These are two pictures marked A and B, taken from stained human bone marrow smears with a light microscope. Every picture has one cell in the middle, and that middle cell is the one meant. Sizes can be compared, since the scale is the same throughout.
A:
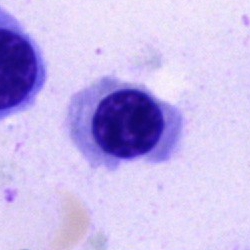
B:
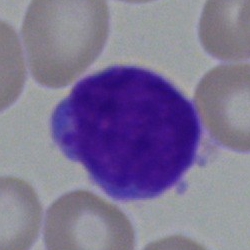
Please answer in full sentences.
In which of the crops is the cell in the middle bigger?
Picture B holds the larger cell; it covers about 2 times the area of the cell in picture A.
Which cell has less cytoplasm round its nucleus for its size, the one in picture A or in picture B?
In picture B the nucleus takes up the larger part of its cell.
